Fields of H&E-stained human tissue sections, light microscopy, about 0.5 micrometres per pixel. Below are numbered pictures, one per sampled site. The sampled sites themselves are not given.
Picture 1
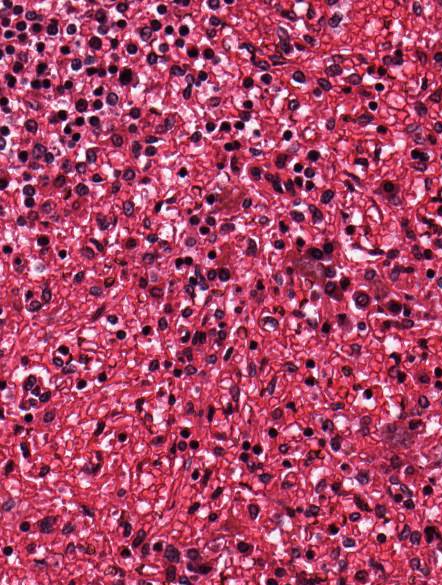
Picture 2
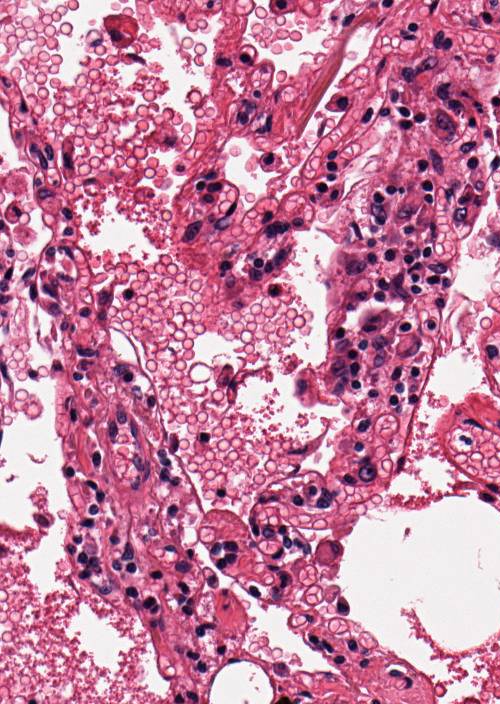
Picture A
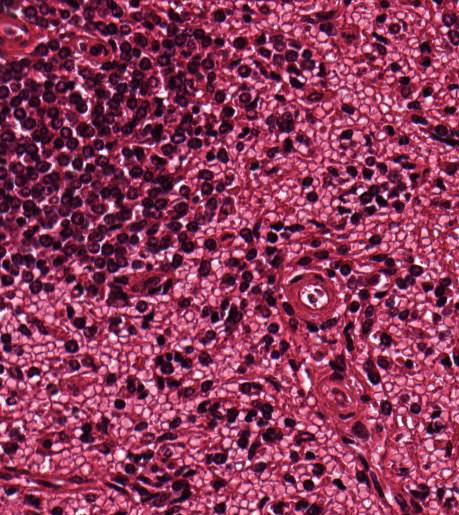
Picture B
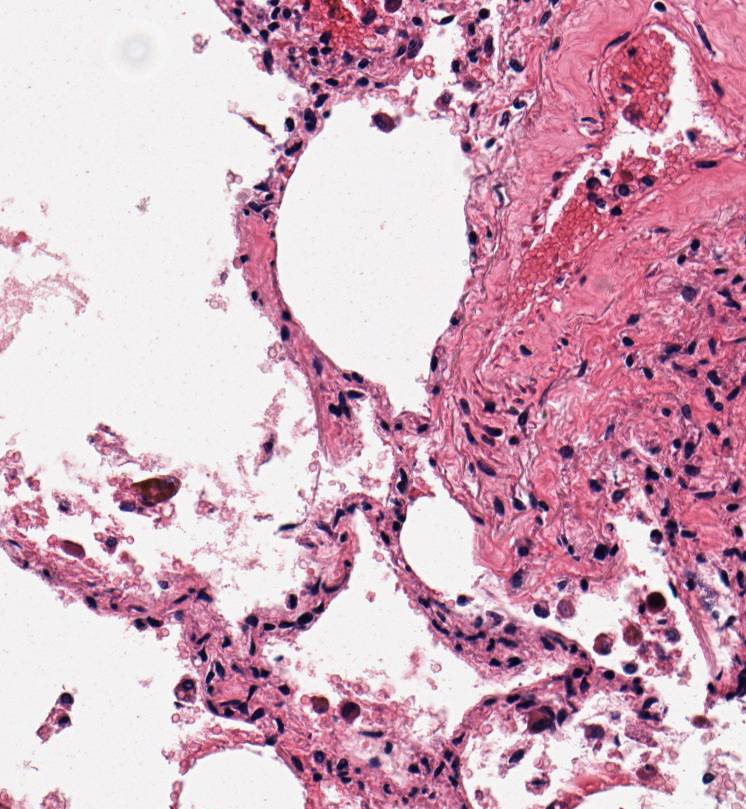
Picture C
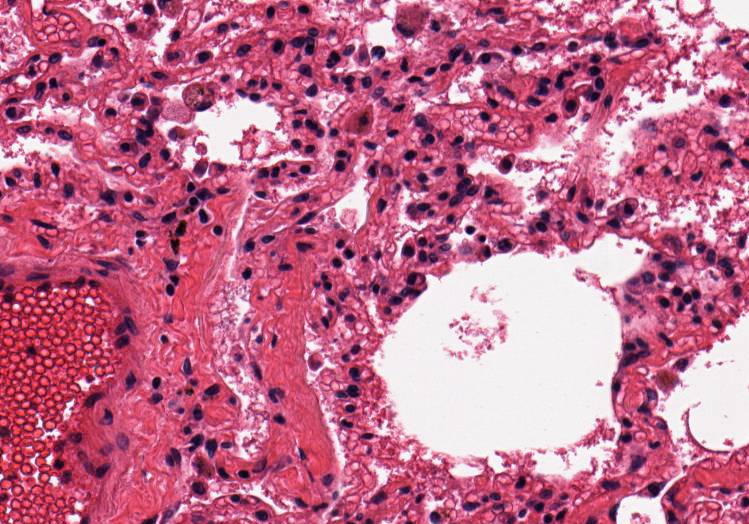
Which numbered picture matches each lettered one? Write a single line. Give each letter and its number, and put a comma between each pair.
A 1, B 2, C 2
